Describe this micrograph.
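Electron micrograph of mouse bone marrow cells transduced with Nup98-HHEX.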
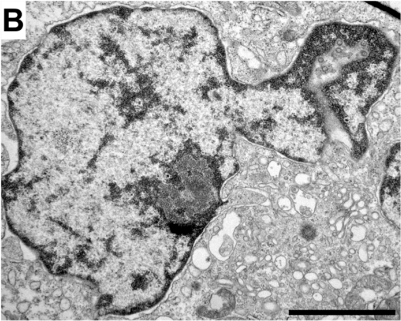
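Dark heterochromatin lines the nuclear border and forms scattered clumps in a paler nucleoplasm. The cytoplasm at the lower right holds many small vesicles.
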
